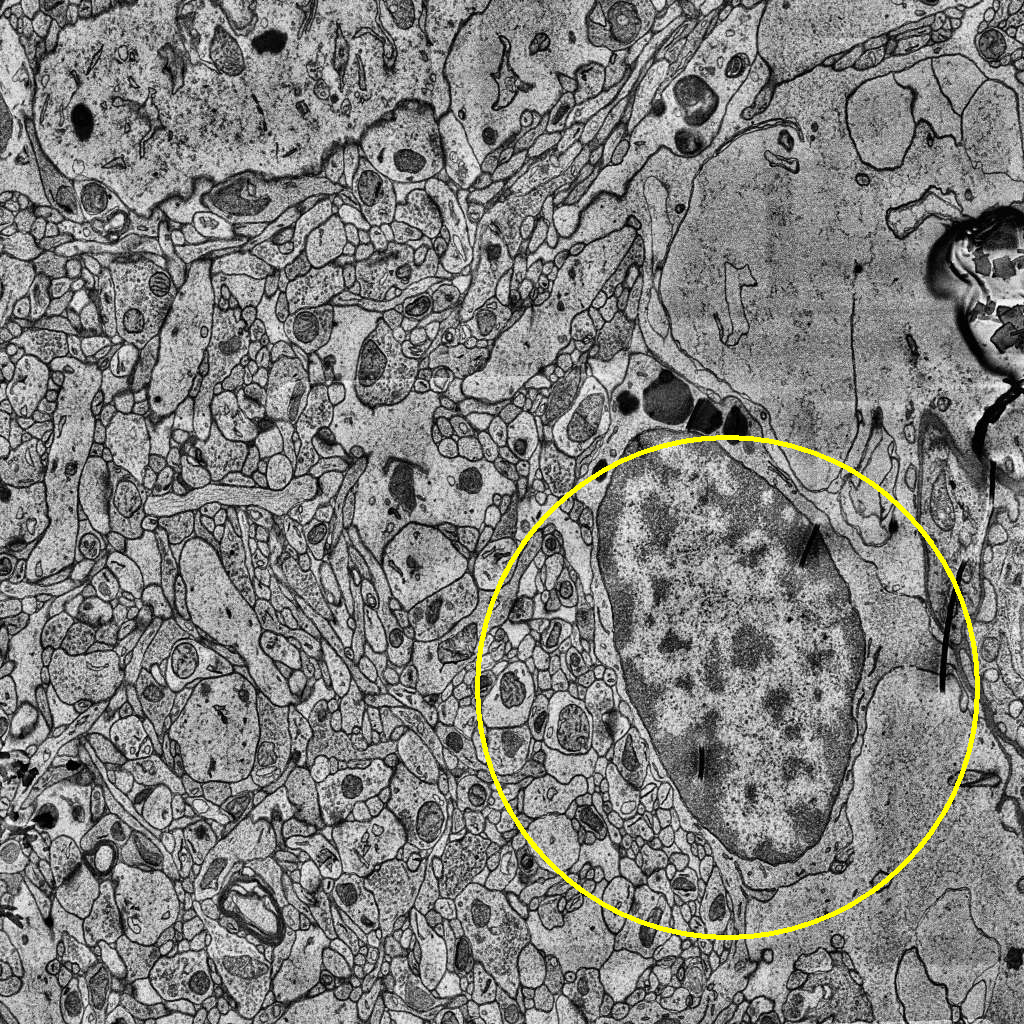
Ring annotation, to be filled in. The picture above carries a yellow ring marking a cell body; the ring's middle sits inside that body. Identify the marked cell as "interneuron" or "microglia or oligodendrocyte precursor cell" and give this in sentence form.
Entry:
The cell at the middle of the ring is a microglial cell or oligodendrocyte precursor cell.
